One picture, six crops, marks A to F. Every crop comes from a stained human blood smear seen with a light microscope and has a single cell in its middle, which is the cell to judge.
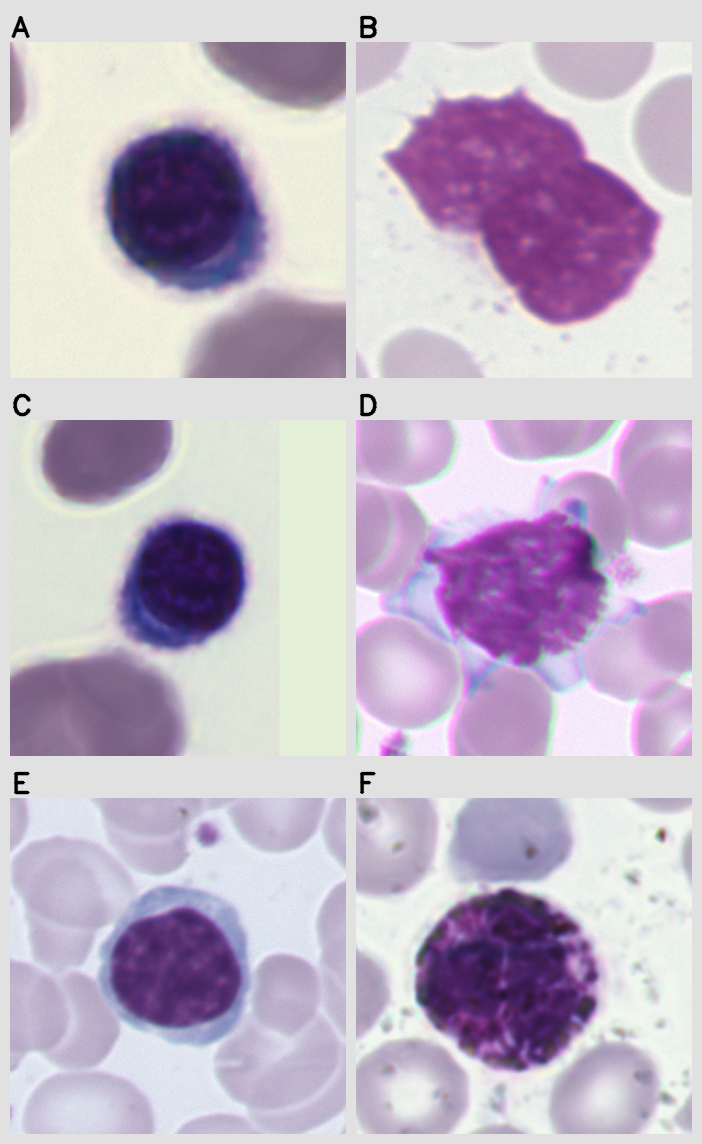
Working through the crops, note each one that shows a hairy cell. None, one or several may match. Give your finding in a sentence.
None of the crops, from first to last, shows a hairy cell.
